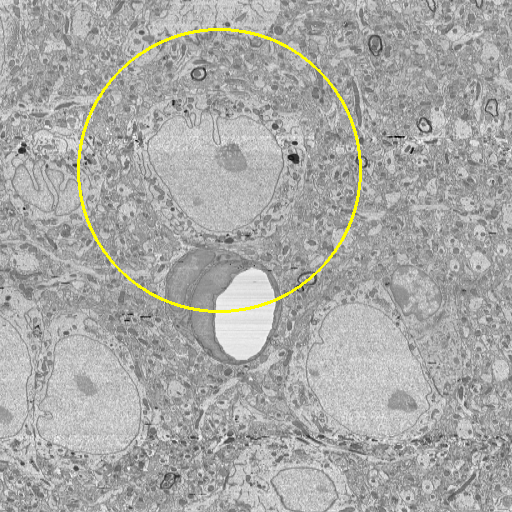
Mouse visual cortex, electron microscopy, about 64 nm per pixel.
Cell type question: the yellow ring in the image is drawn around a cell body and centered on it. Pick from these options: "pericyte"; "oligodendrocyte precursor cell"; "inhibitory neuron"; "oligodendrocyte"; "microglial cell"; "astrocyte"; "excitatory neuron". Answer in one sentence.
The ringed cell at the center is an inhibitory neuron.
